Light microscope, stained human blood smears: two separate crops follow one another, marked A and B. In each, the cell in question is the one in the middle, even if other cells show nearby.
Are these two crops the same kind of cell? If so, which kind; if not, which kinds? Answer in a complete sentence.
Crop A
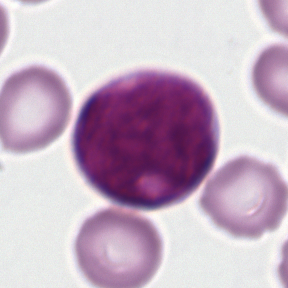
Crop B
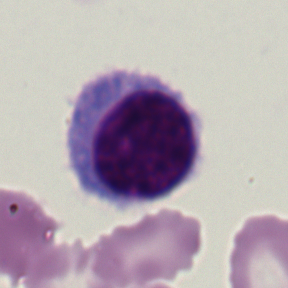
No, it is in crop A that a blast is shown, and in crop B that a hairy cell is shown.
